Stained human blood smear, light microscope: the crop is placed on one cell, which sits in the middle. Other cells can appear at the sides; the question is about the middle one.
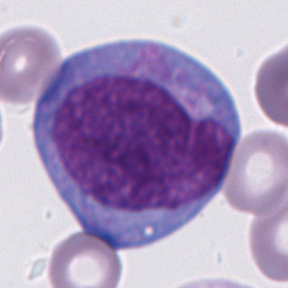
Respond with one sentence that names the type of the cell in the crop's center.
Centred in the crop is a promyelocyte.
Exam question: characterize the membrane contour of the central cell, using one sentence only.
Thanks for asking; the cell edge is smooth and has no projections.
